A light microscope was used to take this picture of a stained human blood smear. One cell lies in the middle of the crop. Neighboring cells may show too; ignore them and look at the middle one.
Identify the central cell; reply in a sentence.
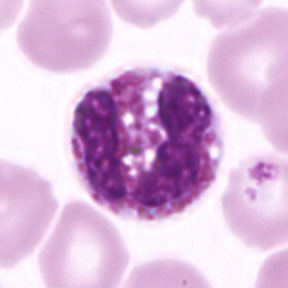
This particular crop is centered on an eosinophil.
